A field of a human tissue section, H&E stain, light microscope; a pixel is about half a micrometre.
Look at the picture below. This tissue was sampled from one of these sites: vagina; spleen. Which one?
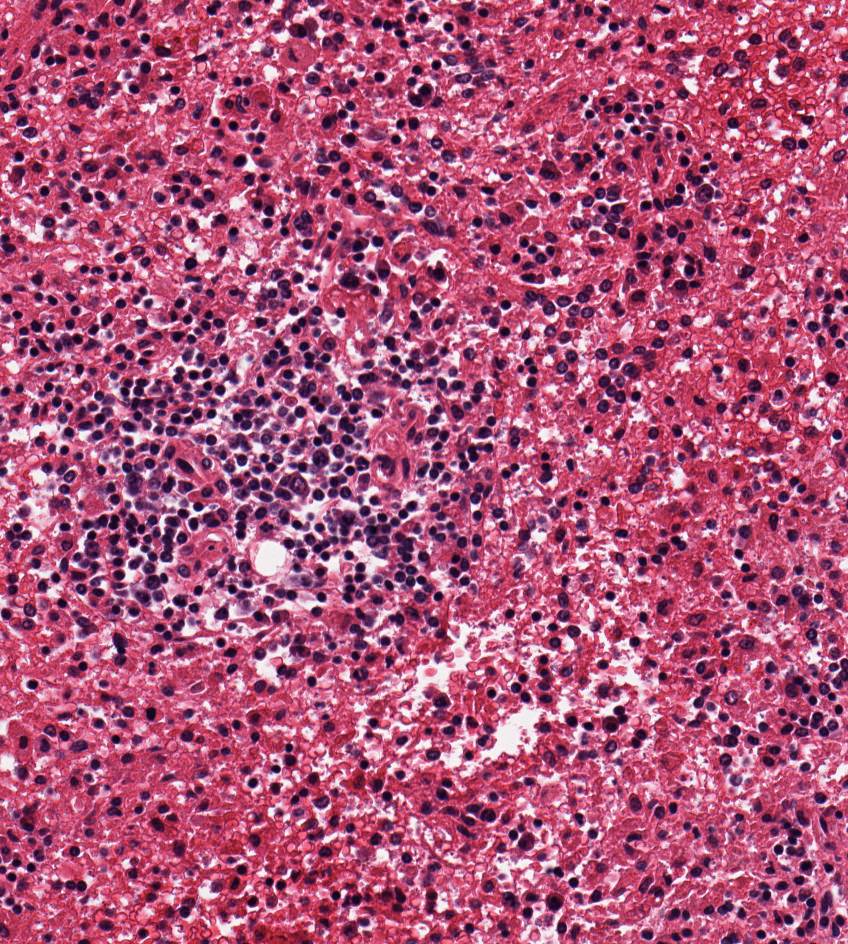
spleen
